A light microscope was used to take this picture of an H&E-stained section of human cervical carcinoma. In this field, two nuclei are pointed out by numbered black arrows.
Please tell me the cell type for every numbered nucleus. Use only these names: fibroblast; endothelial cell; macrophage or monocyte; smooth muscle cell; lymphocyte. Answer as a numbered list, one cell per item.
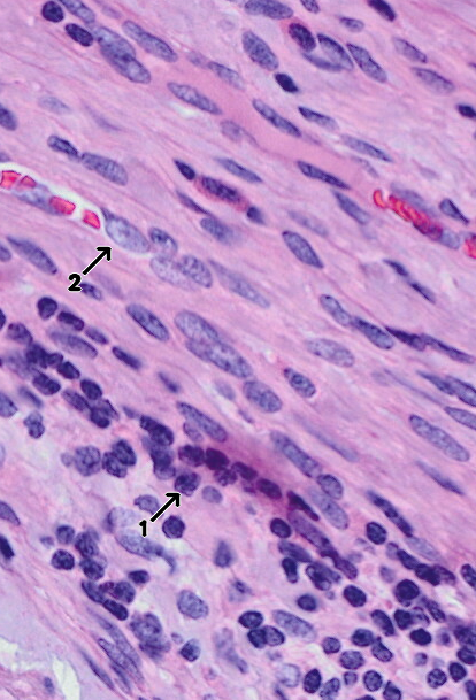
1. lymphocyte
2. endothelial cell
